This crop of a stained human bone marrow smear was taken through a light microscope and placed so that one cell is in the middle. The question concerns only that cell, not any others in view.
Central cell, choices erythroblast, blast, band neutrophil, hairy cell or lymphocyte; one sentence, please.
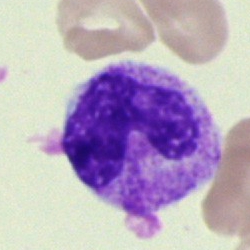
The cell marked by its central position in the crop is a band neutrophil.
